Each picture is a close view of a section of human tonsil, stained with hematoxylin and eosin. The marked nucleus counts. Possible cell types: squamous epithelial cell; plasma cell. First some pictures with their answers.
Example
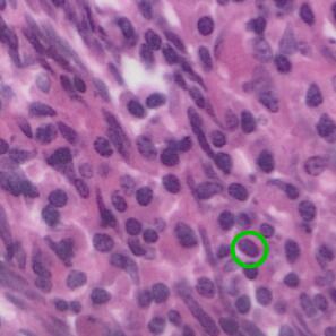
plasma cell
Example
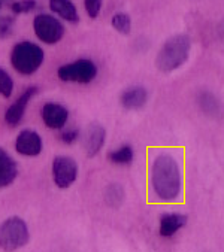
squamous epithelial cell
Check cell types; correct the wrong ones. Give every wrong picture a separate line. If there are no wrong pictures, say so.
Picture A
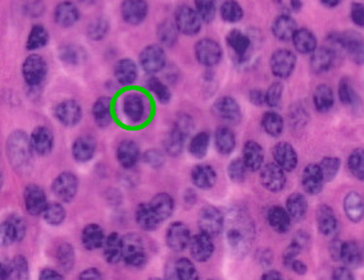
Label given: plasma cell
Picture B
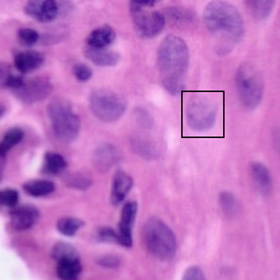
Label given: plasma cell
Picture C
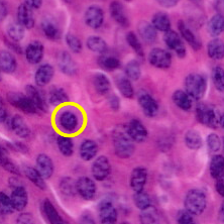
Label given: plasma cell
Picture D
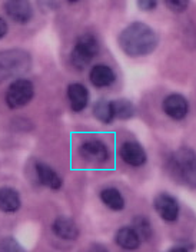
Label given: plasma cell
B: squamous epithelial cell, not plasma cell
